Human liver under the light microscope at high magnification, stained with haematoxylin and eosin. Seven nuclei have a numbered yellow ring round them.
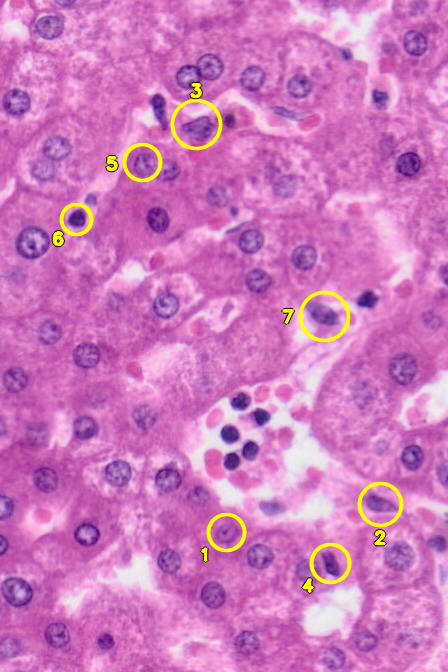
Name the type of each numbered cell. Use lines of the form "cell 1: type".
cell 1: hepatocyte
cell 2: Kupffer cell
cell 3: Kupffer cell
cell 4: fibroblast or stellate cell
cell 5: hepatocyte
cell 6: lymphocyte
cell 7: Kupffer cell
